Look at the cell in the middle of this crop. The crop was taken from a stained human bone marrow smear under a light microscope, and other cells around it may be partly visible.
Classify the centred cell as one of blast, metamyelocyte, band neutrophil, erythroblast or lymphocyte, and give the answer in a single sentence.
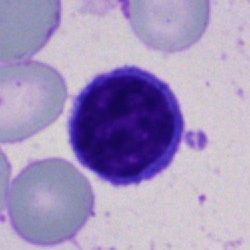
The cell that lies at the centre of the crop is a lymphocyte.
